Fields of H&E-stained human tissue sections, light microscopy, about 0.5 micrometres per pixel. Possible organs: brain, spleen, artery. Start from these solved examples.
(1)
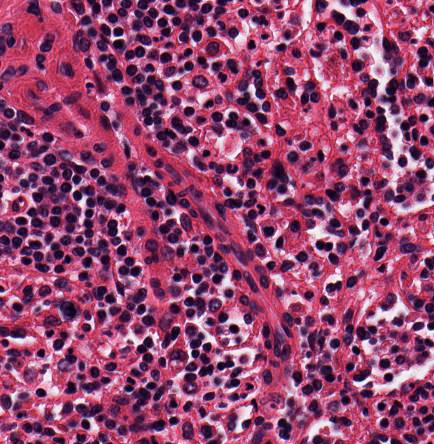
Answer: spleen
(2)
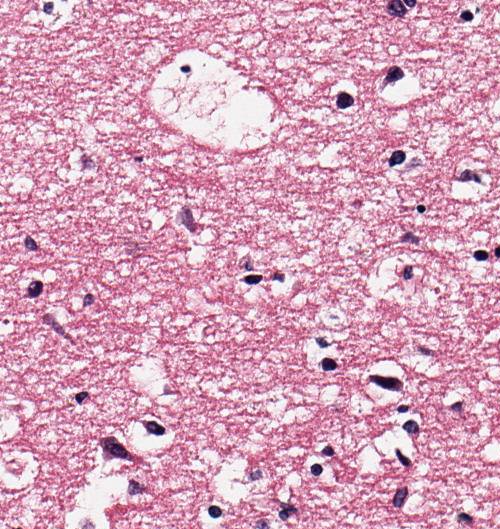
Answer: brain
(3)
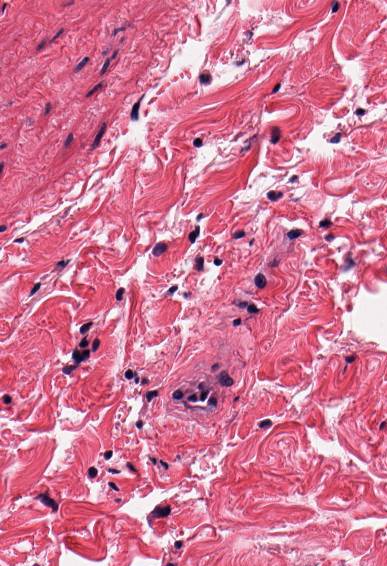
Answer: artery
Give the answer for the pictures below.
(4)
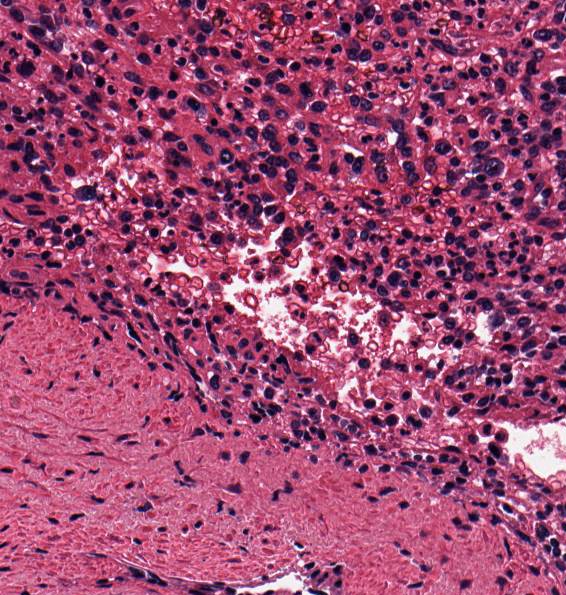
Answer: spleen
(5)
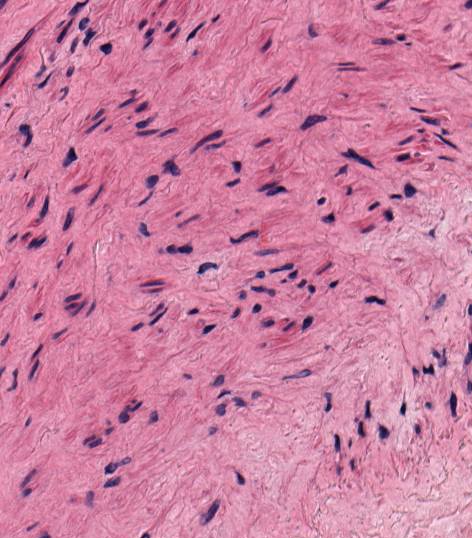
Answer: artery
